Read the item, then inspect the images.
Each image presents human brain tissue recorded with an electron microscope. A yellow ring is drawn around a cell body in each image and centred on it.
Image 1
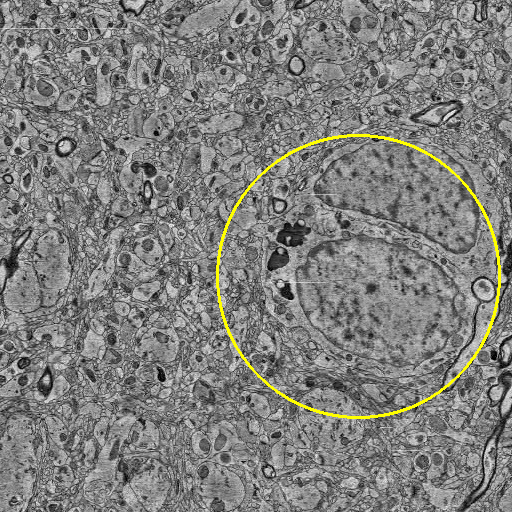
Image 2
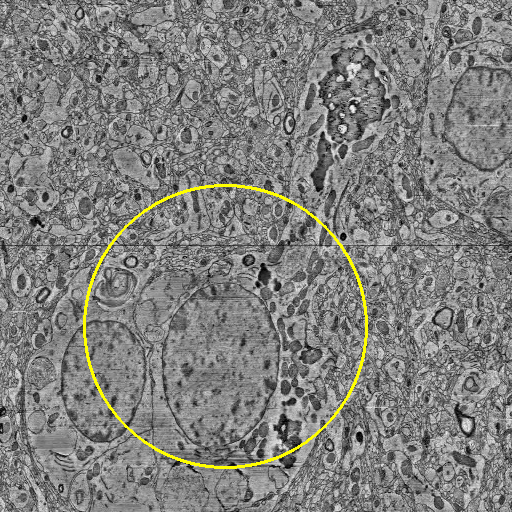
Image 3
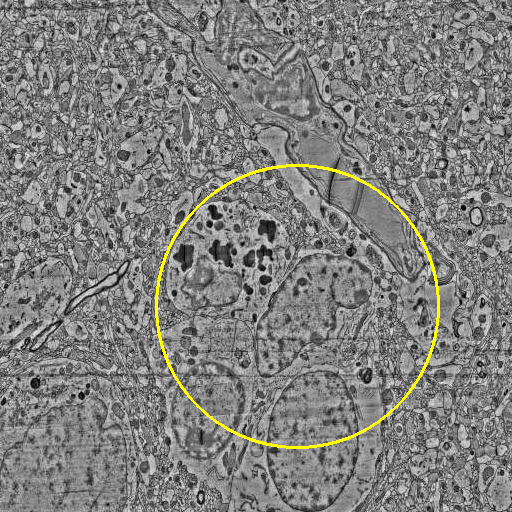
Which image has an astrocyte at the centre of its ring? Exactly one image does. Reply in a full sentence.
The ring in Image 2 is centred on it.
